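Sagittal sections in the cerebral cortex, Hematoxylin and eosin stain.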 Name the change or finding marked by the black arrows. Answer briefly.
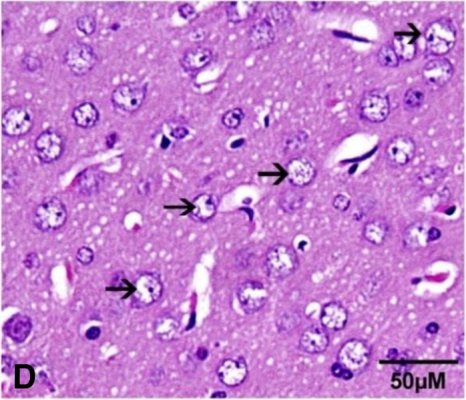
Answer: Neurocyte chromatolysis.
